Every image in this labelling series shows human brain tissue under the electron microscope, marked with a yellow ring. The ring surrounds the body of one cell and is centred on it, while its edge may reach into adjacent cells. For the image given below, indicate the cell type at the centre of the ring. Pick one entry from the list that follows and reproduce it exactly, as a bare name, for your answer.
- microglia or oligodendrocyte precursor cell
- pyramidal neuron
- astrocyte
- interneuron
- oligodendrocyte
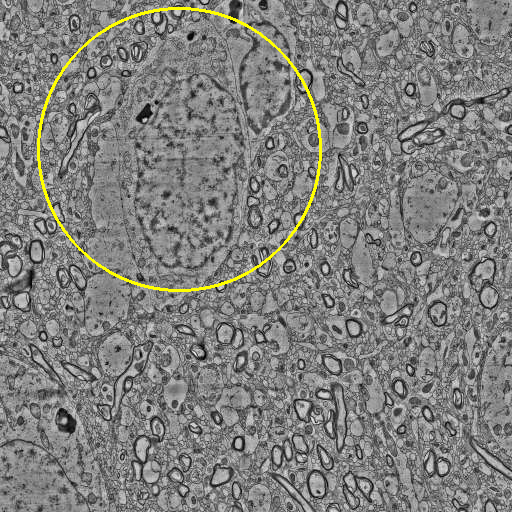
interneuron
